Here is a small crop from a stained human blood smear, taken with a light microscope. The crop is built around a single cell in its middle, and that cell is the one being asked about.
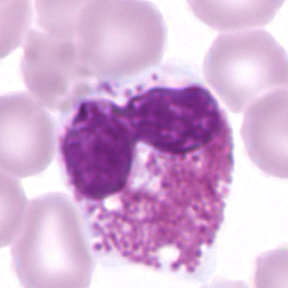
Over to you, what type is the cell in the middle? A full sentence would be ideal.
Whatever else lies nearby, the middle cell is an eosinophil.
